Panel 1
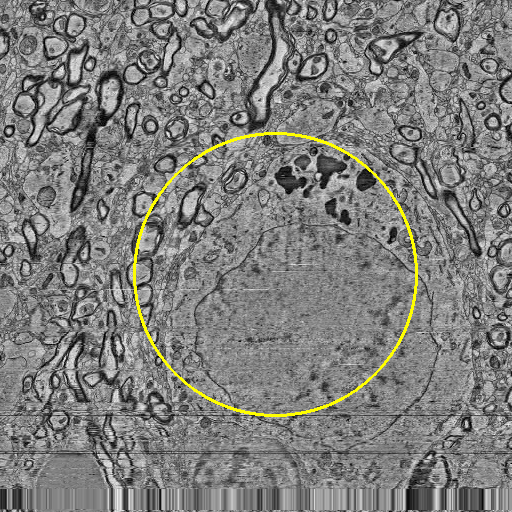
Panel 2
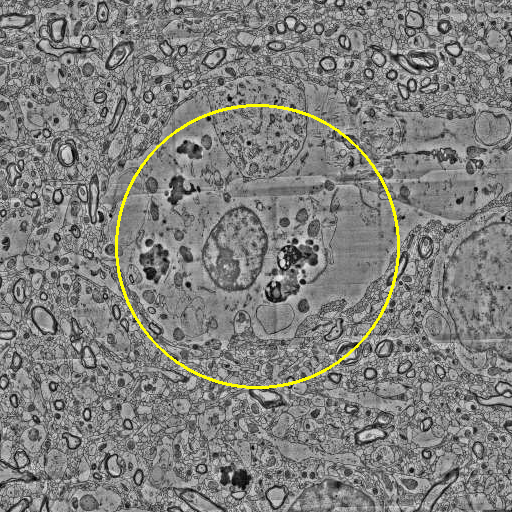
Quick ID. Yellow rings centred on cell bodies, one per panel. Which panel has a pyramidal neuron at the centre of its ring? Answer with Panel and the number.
Panel 1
